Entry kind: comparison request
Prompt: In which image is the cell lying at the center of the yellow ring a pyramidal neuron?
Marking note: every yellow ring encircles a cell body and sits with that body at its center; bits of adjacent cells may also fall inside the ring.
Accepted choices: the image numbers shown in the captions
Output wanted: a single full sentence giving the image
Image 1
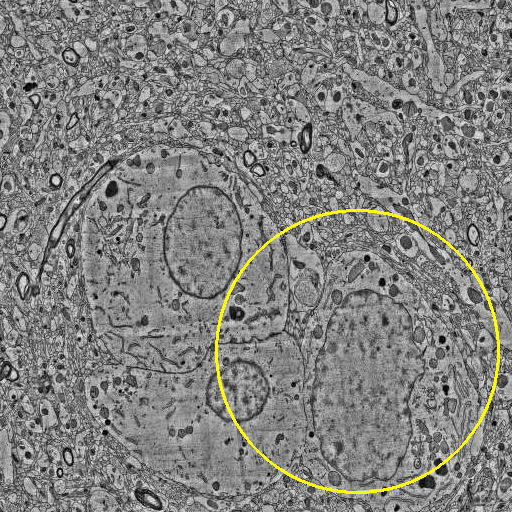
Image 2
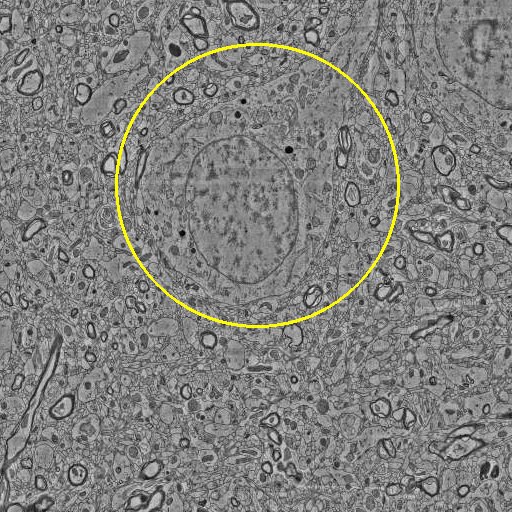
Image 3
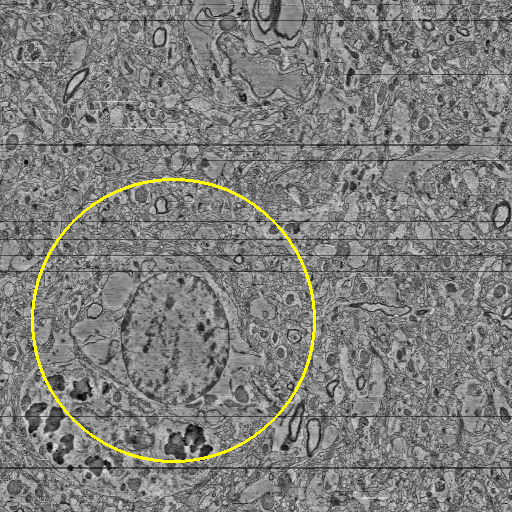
In image 2, the ringed cell at the center matches the prompt.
